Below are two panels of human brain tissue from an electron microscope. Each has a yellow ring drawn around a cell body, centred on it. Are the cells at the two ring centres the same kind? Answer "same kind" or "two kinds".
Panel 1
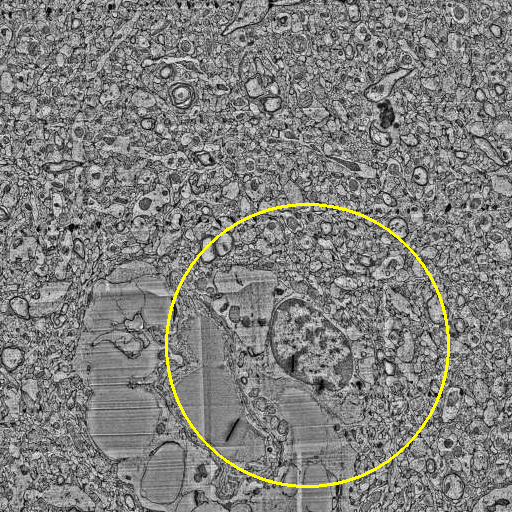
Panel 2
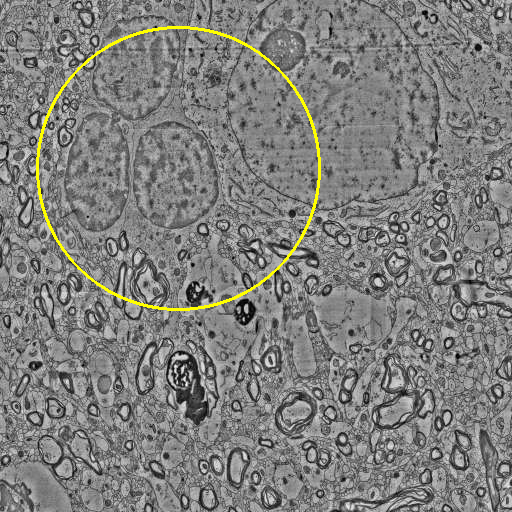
two kinds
